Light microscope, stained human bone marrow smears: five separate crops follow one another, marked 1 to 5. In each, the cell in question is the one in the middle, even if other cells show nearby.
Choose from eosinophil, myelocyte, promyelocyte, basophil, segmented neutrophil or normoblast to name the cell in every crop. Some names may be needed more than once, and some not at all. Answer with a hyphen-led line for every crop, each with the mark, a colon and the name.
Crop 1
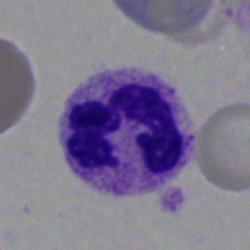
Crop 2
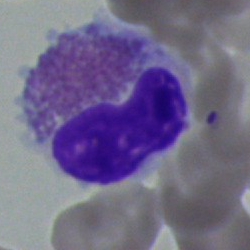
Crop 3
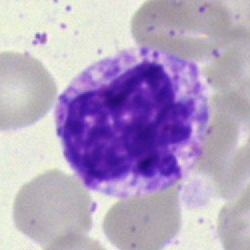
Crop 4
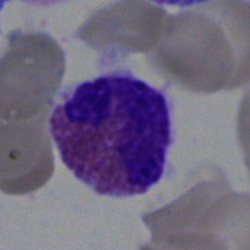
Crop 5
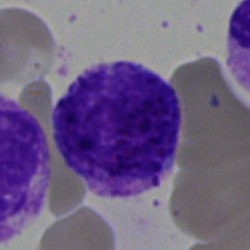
- 1: segmented neutrophil
- 2: eosinophil
- 3: basophil
- 4: eosinophil
- 5: basophil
